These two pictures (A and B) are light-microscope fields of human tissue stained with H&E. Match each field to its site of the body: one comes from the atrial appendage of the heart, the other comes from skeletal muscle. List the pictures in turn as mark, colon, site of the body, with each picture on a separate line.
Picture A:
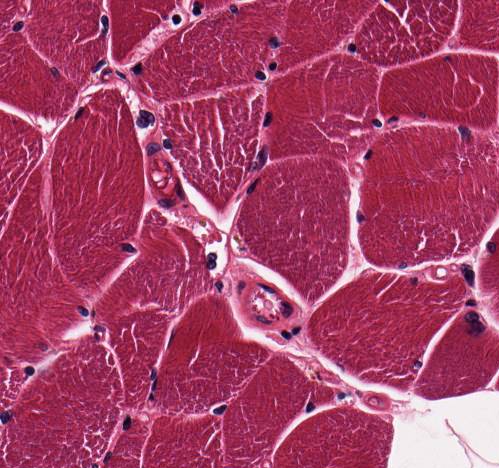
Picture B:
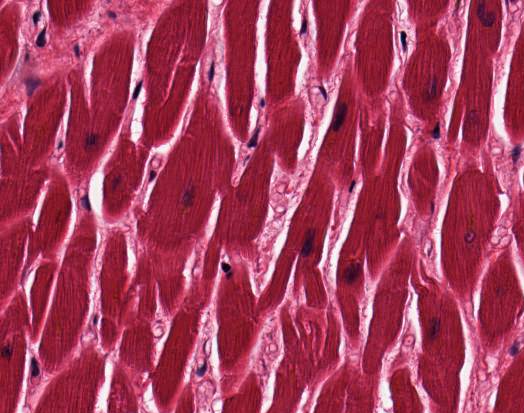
A: skeletal muscle
B: atrial appendage of the heart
